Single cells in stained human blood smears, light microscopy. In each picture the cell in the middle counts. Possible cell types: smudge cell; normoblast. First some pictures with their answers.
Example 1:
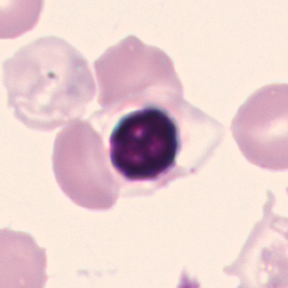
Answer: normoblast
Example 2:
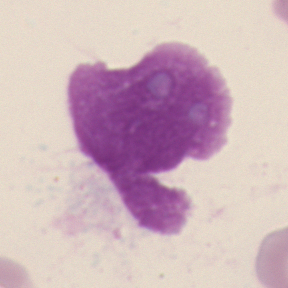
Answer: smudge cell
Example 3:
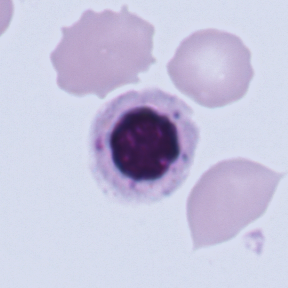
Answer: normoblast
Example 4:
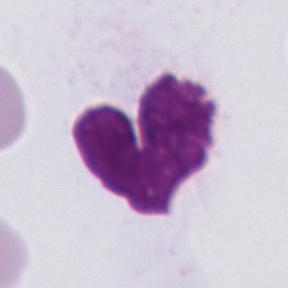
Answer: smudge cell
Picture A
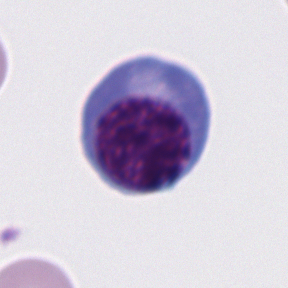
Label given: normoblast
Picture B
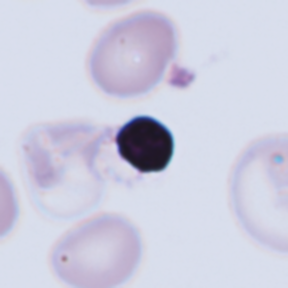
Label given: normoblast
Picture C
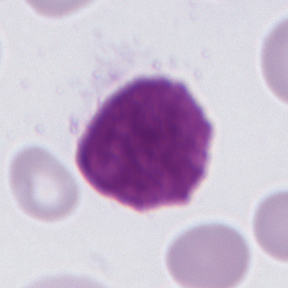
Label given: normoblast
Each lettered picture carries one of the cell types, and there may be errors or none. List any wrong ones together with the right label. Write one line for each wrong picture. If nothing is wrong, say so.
C is labelled normoblast; correct label: smudge cell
